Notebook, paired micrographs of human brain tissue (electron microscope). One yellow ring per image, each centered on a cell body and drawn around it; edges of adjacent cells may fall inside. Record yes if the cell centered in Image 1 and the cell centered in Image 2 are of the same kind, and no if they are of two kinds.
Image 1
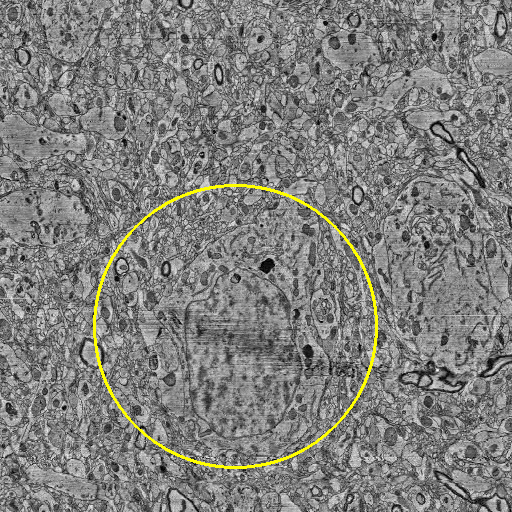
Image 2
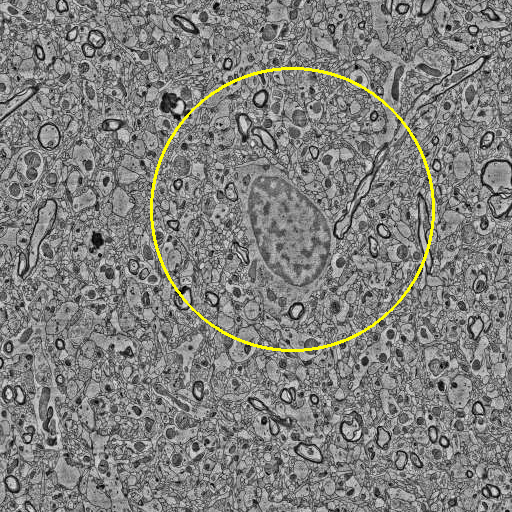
no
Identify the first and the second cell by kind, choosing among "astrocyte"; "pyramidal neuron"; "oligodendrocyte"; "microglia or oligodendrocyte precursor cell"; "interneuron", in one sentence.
The one in the first picture is an interneuron, while the one in the second is an oligodendrocyte.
